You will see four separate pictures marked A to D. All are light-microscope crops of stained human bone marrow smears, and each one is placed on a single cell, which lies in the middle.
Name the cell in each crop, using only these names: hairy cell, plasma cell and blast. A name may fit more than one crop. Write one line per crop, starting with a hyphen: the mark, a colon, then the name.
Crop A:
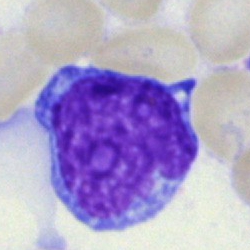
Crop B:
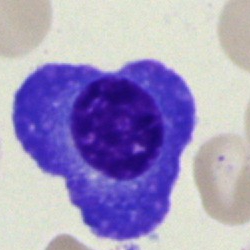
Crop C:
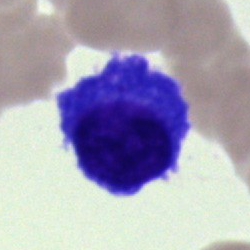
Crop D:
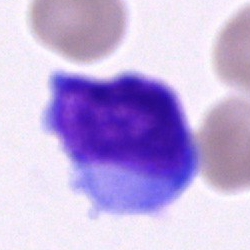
- A: blast
- B: plasma cell
- C: plasma cell
- D: blast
